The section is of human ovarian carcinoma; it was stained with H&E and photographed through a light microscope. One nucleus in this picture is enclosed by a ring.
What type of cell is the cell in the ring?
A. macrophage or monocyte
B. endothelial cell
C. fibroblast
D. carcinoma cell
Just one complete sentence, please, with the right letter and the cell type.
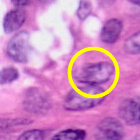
The correct choice is option B; the cell in the ring is an endothelial cell.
